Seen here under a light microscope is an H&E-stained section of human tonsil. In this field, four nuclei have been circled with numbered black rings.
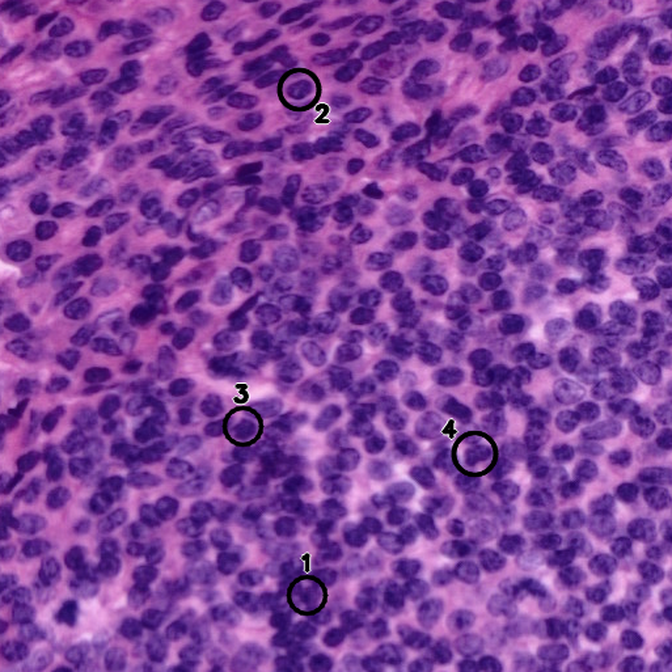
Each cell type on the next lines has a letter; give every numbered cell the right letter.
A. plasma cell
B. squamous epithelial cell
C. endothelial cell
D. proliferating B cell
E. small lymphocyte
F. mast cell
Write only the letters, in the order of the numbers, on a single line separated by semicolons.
E; A; E; E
